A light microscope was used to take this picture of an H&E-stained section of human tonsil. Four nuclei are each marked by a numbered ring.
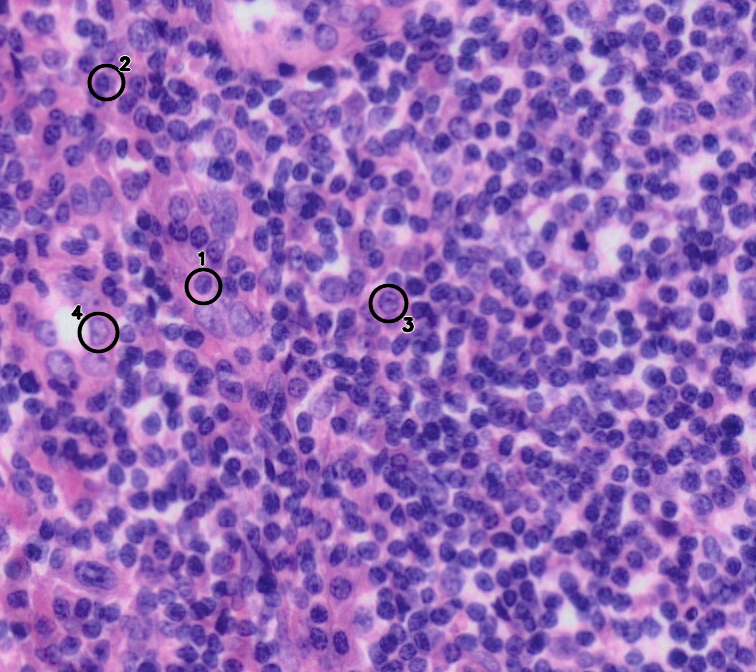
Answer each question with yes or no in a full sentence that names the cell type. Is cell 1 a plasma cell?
No. Cell number 1 is an endothelial cell, not a plasma cell.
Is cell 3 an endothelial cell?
No, cell 3 isn't an endothelial cell; it's a plasma cell.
